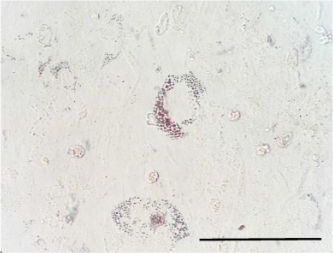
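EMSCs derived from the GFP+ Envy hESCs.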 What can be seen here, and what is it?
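This culture shows adipocytes arising among pale, unstained cells. A few rounded cells are packed with many small droplets stained red, grouped in clusters. Around them the remaining cells are flat and faint, with little or no red staining.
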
